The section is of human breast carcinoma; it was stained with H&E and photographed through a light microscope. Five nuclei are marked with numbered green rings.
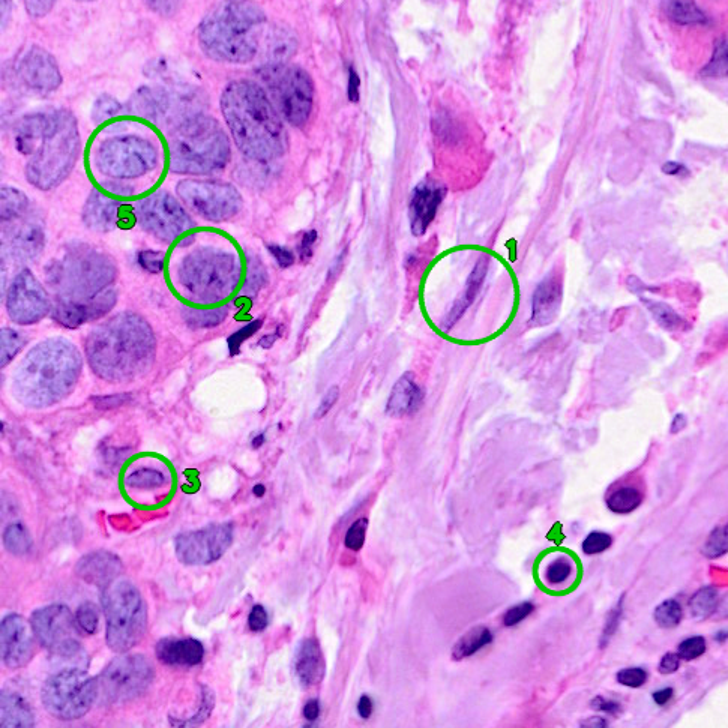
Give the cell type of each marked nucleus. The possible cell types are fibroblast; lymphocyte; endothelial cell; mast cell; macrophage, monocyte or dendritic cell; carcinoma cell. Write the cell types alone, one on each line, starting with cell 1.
fibroblast
carcinoma cell
endothelial cell
lymphocyte
carcinoma cell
